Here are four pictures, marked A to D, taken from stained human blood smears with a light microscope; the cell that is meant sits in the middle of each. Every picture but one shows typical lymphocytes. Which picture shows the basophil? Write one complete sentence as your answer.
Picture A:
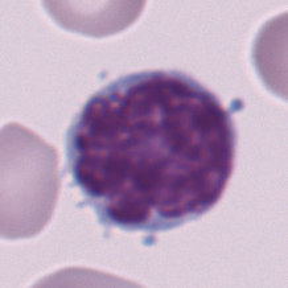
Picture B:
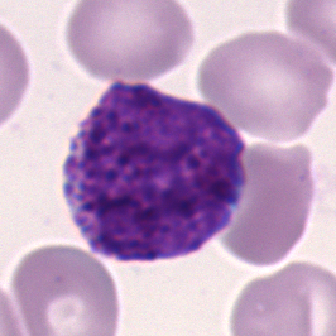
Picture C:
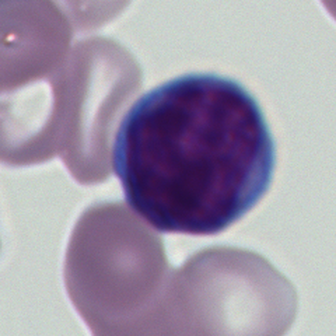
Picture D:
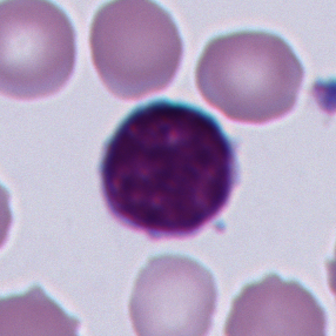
The cell in picture B is the basophil.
